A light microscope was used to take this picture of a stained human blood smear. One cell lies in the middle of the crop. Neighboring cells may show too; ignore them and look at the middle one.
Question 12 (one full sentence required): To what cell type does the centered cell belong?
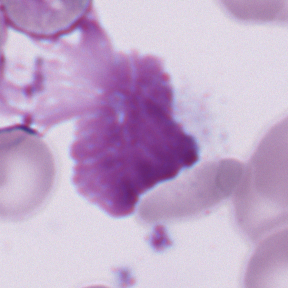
For this crop, the cell in the middle is a smudge cell.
